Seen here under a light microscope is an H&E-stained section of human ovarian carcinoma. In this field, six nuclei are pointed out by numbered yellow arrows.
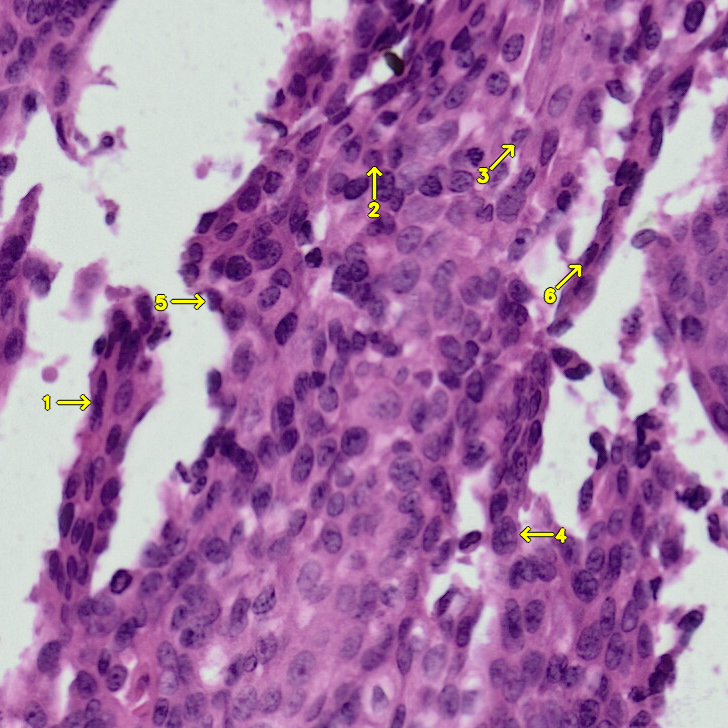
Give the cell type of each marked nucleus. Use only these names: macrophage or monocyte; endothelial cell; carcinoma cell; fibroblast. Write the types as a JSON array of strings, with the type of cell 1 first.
["endothelial cell", "carcinoma cell", "macrophage or monocyte", "carcinoma cell", "carcinoma cell", "carcinoma cell"]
